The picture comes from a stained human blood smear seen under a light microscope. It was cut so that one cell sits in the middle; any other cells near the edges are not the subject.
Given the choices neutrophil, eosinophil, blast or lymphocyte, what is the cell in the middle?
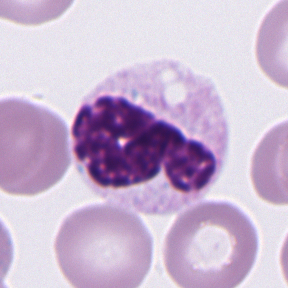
neutrophil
